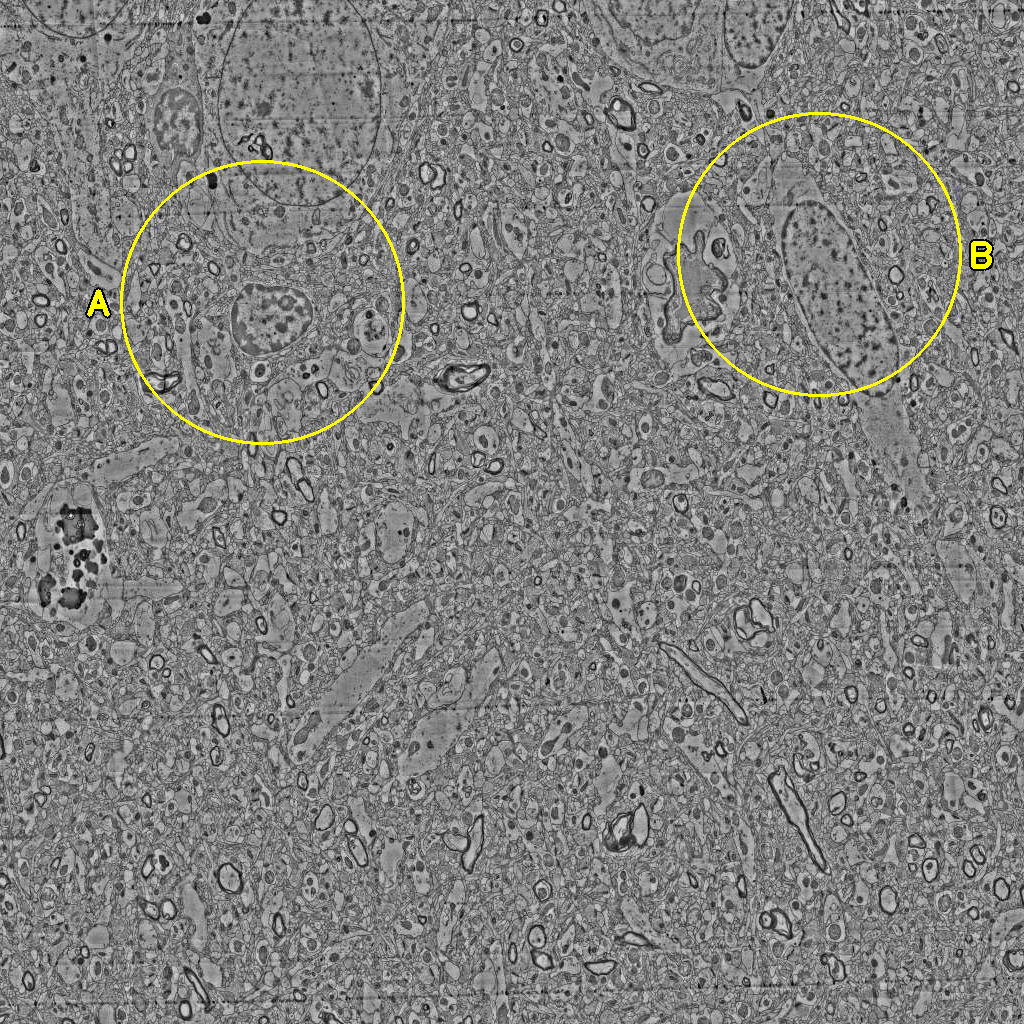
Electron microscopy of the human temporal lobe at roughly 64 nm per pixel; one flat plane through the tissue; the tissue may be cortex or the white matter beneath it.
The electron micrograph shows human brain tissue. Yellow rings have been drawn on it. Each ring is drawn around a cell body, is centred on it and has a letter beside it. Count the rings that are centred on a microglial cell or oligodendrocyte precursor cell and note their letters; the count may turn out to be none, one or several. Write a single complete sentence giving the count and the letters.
Rings lettered A and B, two altogether, have a microglial cell or oligodendrocyte precursor cell at the centre of every one of them.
